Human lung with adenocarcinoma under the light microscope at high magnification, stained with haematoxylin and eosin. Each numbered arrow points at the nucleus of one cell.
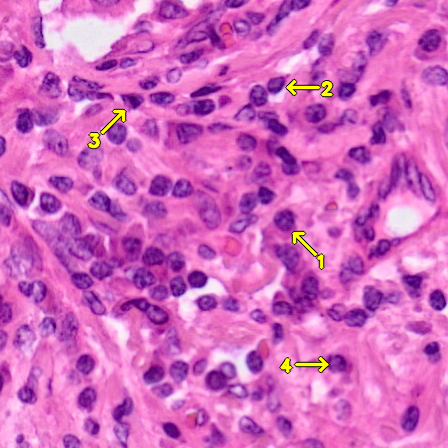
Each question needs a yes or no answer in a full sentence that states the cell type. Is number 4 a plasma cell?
Yes, to put it simply, cell number 4 is a plasma cell.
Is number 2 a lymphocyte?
Yes, the numbered cell 2 is a lymphocyte.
